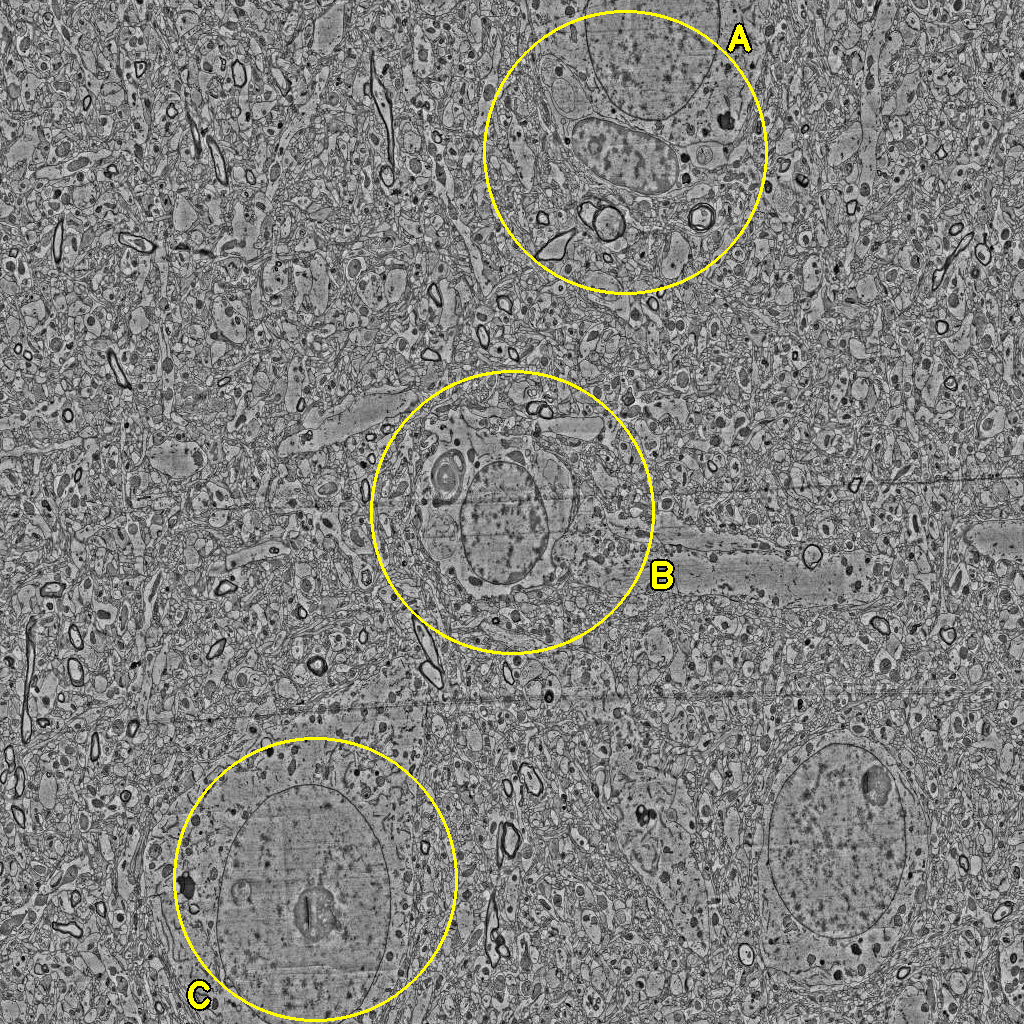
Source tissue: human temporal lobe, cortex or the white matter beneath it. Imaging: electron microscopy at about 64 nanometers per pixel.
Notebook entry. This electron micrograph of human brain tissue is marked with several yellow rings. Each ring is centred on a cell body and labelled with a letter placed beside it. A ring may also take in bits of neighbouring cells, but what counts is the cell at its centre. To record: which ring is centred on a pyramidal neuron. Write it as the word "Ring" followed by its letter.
Ring C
